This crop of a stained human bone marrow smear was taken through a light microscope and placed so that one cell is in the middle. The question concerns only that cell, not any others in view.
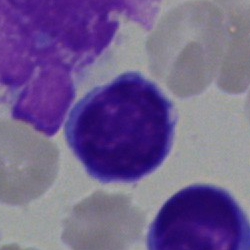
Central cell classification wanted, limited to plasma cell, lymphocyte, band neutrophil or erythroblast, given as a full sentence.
The cell in the middle of this crop is a lymphocyte.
